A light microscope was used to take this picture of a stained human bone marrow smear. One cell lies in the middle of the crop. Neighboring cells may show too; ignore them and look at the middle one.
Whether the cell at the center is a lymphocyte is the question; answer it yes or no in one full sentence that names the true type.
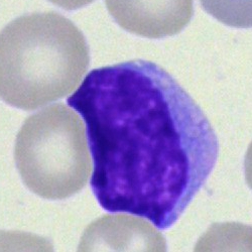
No, the central cell in this crop is a blast and not a lymphocyte.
